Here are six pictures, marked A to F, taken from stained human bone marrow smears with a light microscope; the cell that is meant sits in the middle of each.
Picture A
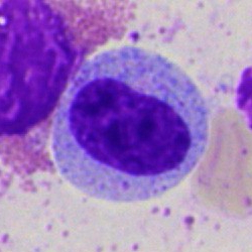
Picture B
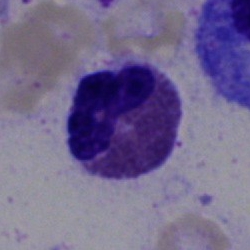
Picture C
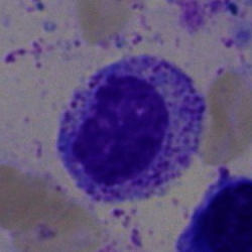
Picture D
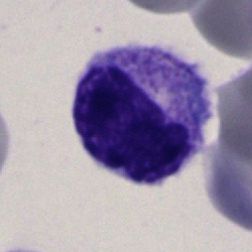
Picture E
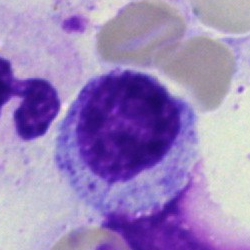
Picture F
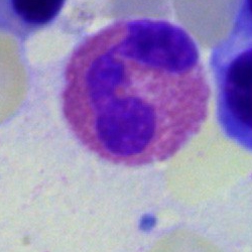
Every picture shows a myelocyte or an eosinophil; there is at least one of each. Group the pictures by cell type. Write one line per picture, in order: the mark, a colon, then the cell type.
A: myelocyte
B: eosinophil
C: myelocyte
D: myelocyte
E: myelocyte
F: eosinophil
